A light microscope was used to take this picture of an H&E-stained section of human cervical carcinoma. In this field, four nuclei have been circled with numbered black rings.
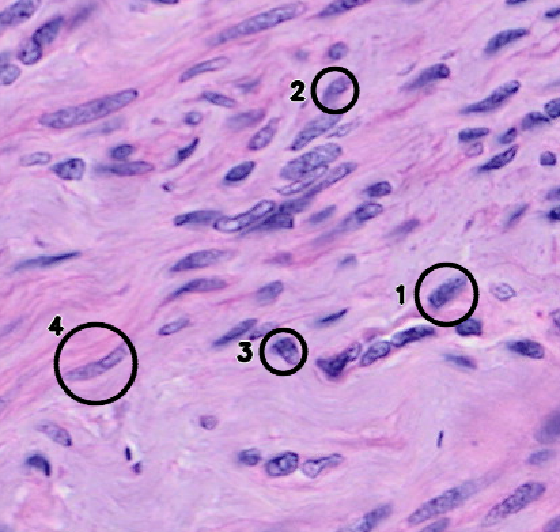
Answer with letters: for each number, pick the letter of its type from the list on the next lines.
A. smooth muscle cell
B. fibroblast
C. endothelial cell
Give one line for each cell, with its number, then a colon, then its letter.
1: C
2: A
3: B
4: A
